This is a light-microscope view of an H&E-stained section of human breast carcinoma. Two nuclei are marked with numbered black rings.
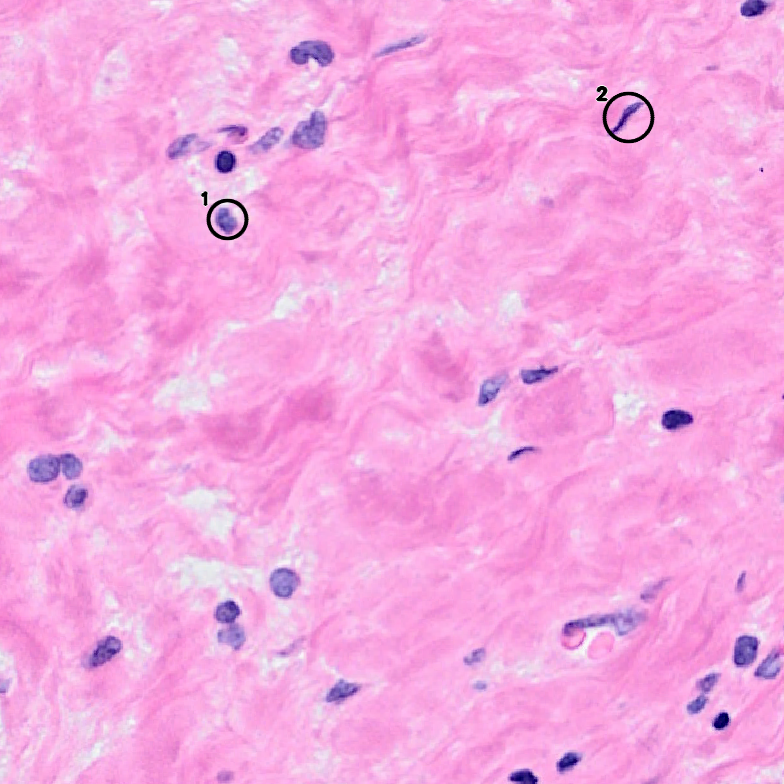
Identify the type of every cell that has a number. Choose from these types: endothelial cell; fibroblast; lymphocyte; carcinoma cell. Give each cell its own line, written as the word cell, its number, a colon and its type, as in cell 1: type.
cell 1: lymphocyte
cell 2: fibroblast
